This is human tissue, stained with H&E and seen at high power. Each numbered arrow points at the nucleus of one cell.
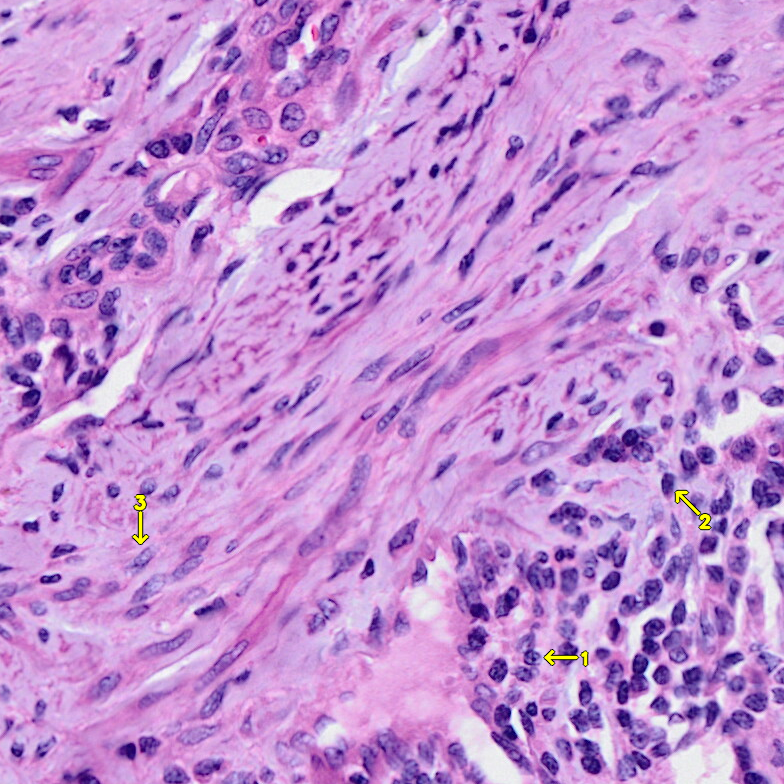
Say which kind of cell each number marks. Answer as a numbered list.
1. lymphocyte
2. lymphocyte
3. smooth muscle cell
